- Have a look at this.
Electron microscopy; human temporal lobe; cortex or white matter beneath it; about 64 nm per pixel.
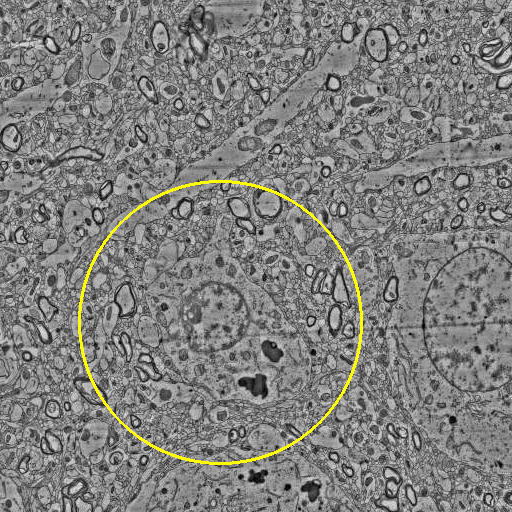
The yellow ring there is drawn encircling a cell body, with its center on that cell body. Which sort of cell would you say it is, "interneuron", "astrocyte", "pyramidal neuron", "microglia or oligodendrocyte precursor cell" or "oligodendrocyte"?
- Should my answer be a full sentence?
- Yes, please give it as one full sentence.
For this picture, an interneuron is the cell where the yellow ring has its center.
